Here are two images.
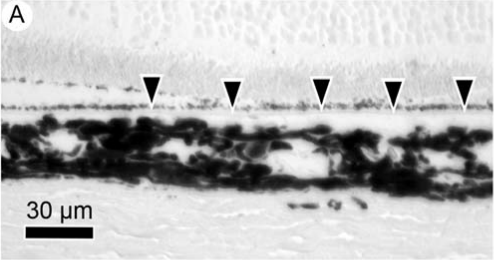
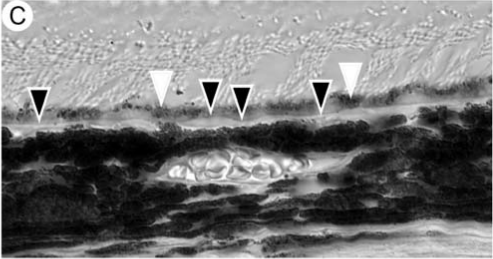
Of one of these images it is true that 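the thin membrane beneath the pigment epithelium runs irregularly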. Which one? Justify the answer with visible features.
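Second image: the thin dark line under the retina is uneven and interrupted by clumps of pigment. First image: the thin dark line under the retina runs straight and even across the field. So: the second image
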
